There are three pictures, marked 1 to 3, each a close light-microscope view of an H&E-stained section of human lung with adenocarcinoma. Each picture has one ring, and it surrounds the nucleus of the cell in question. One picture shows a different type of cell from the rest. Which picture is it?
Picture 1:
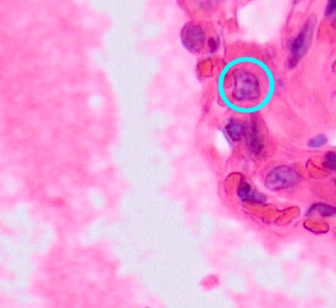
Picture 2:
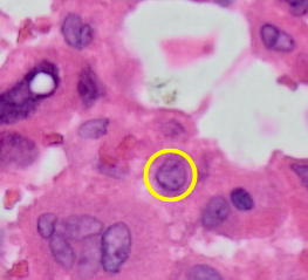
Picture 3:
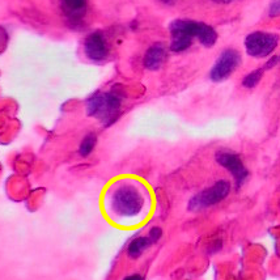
3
